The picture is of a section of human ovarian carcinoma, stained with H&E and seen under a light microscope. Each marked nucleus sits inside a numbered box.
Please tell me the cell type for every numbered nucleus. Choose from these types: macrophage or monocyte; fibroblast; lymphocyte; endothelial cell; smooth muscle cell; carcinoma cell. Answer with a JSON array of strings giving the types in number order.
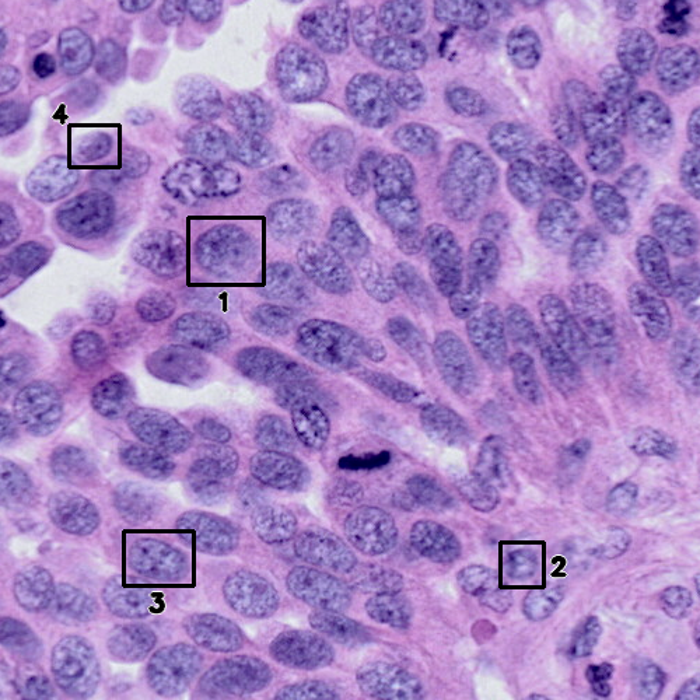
["carcinoma cell", "fibroblast", "carcinoma cell", "carcinoma cell"]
